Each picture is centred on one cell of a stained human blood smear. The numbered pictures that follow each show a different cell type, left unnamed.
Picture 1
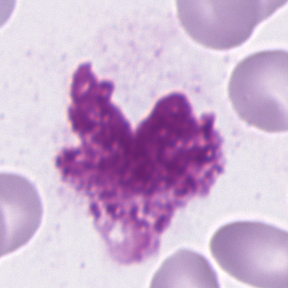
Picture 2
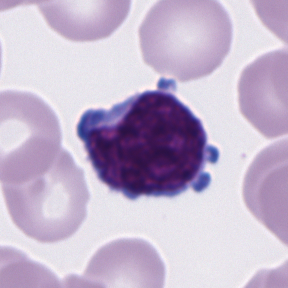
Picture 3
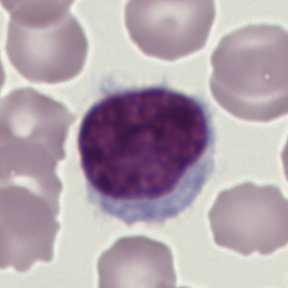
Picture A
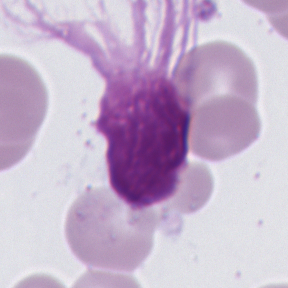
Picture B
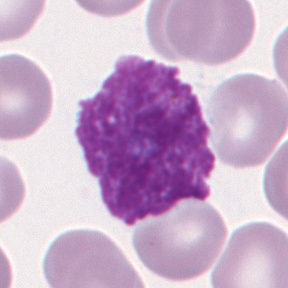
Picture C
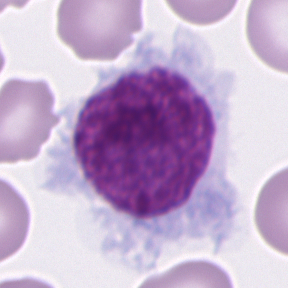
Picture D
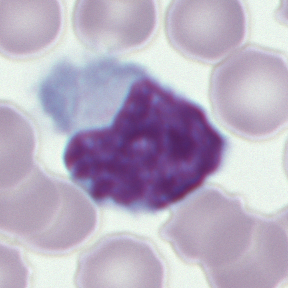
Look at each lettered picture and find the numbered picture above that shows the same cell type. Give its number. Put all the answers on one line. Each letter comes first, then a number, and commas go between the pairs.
A 1, B 1, C 3, D 2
